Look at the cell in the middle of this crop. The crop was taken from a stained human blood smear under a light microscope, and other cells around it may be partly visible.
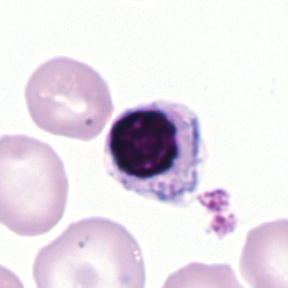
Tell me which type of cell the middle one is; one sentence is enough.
In this smear crop, the middle cell is a normoblast.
